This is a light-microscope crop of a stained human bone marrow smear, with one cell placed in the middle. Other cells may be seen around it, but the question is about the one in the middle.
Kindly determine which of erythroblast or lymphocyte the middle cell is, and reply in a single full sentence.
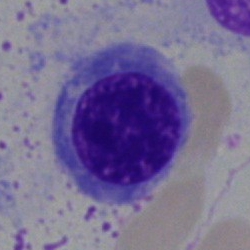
The cell centred in this crop is categorized as an erythroblast.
